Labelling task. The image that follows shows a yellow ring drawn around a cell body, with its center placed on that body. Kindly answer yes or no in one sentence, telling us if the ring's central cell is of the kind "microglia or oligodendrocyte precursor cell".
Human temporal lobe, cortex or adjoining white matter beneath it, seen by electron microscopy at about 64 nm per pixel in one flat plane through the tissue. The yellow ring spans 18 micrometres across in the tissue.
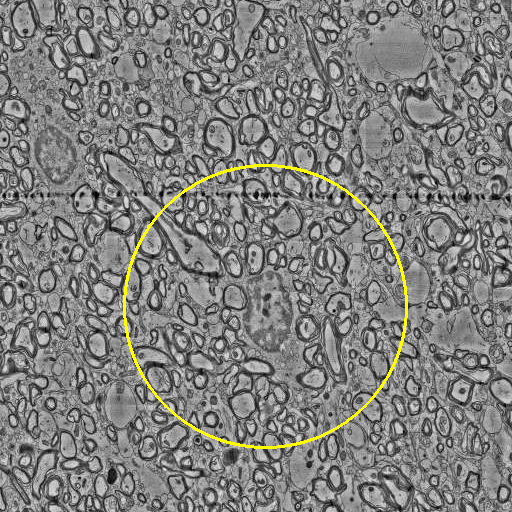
No, in this image the cell at the ring's center is of a different kind.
